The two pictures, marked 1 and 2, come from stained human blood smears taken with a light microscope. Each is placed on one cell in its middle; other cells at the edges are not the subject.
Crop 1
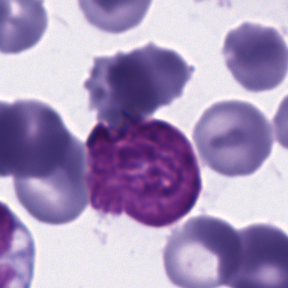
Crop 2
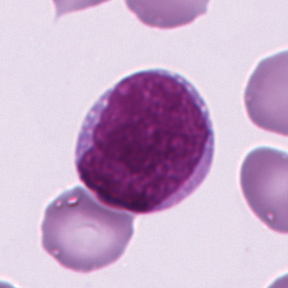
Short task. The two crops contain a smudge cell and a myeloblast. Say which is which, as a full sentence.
Crop 1 has been identified as a smudge cell, and crop 2 has been identified as a myeloblast.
